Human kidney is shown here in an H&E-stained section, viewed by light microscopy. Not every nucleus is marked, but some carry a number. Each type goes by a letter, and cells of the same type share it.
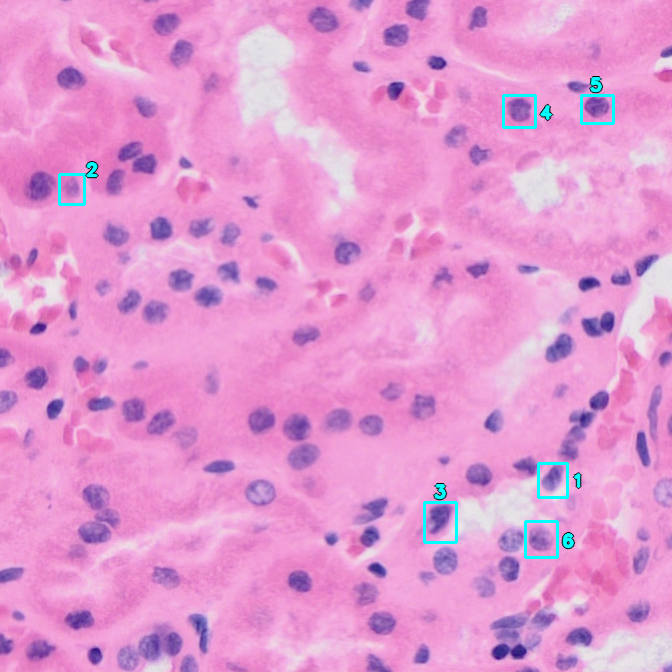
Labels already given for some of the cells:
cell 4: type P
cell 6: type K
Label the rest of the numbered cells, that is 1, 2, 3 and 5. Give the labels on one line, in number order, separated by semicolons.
type K; type P; type K; type P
